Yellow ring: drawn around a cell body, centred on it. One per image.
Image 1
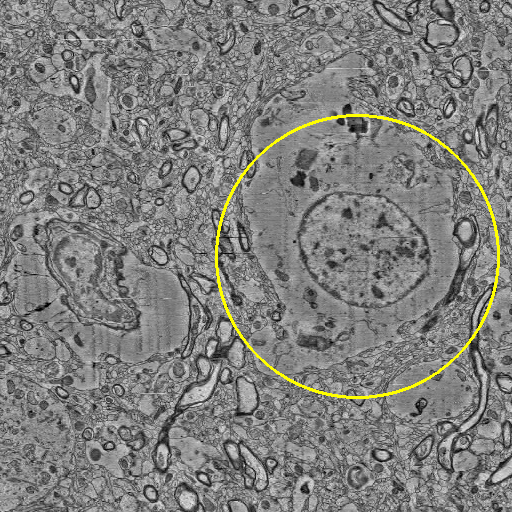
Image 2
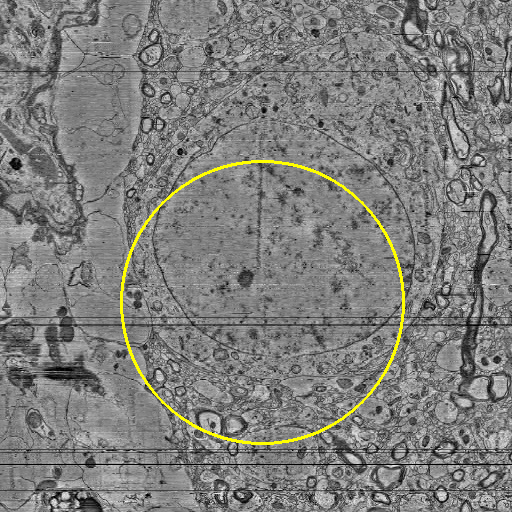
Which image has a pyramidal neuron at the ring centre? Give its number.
2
